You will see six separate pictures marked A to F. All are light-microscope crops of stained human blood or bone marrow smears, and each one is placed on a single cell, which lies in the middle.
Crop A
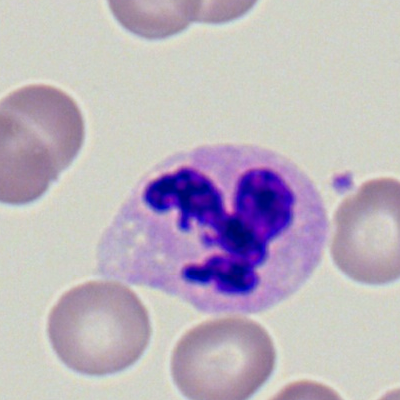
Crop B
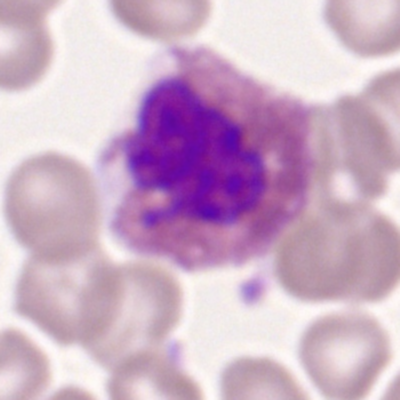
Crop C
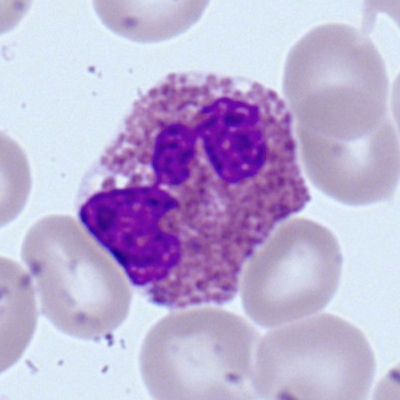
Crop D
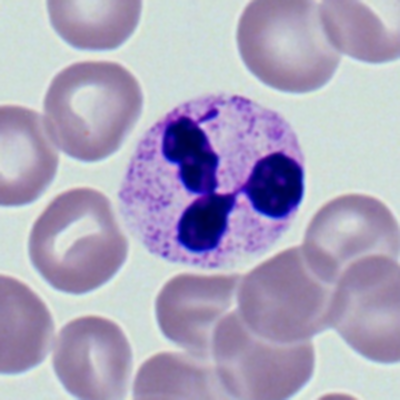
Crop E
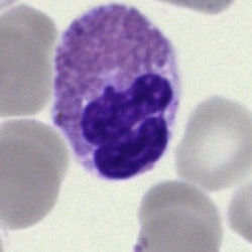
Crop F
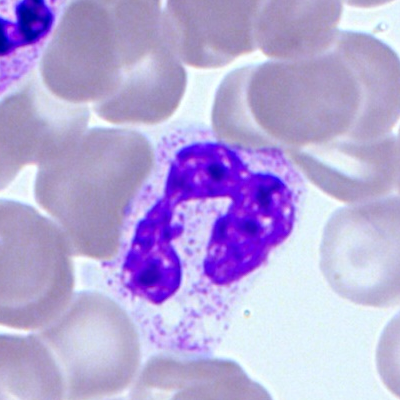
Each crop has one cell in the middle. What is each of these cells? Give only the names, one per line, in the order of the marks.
segmented neutrophil
eosinophil
eosinophil
segmented neutrophil
eosinophil
segmented neutrophil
